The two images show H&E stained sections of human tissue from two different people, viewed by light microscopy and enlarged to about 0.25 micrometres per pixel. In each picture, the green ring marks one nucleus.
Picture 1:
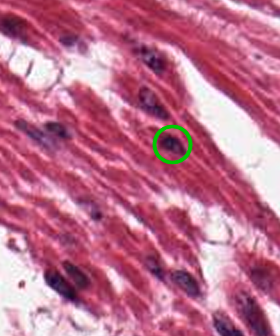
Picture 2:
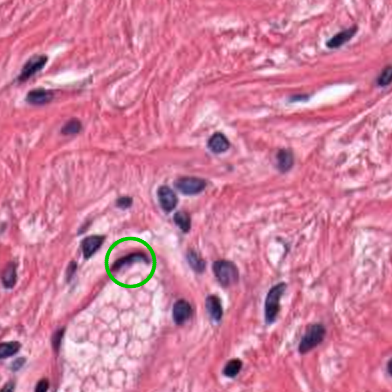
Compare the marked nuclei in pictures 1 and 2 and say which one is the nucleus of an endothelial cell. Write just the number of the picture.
2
